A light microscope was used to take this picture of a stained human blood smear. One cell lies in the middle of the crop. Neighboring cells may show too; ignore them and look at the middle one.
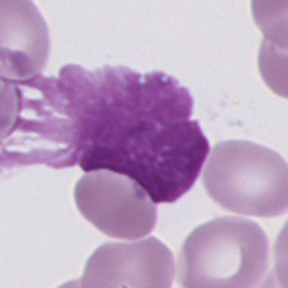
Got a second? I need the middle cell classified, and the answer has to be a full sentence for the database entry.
The cell at the middle of the crop is recognized as a smudge cell.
